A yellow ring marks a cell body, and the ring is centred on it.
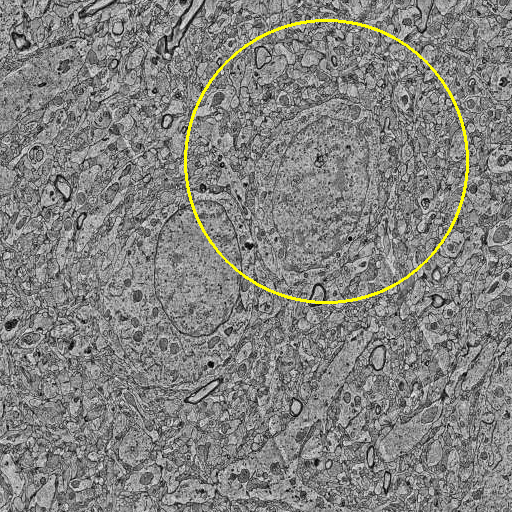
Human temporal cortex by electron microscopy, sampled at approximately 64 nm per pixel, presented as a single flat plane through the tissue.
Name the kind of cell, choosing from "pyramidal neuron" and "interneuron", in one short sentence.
The marked cell body belongs to an interneuron.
